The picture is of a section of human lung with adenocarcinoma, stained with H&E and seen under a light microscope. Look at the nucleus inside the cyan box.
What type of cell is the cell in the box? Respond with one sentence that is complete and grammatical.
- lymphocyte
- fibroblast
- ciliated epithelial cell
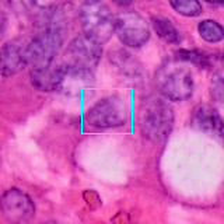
In terms of identity, the cell in the box is a ciliated epithelial cell.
